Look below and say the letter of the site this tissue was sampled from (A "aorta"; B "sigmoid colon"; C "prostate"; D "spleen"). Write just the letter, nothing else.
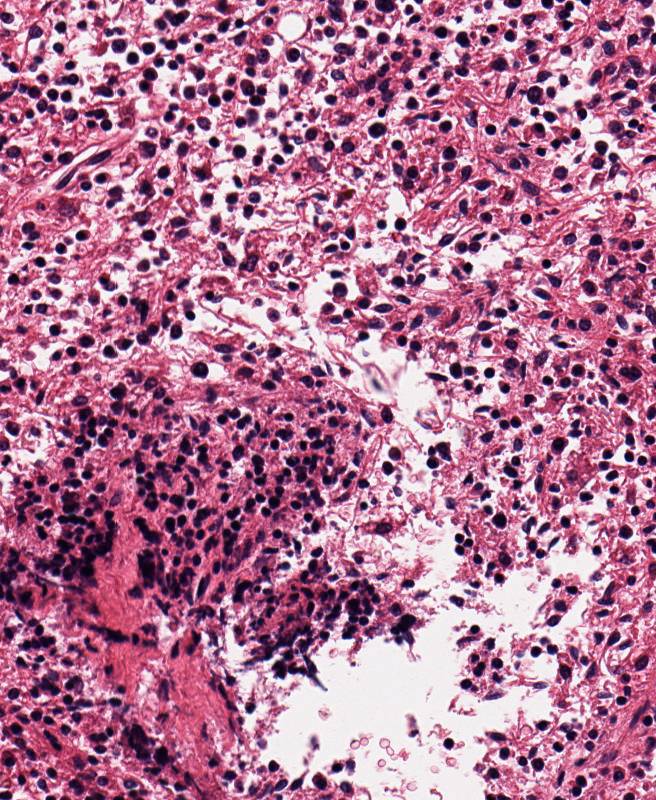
D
